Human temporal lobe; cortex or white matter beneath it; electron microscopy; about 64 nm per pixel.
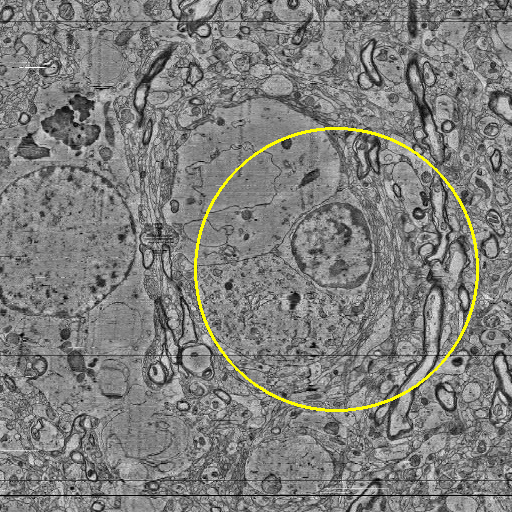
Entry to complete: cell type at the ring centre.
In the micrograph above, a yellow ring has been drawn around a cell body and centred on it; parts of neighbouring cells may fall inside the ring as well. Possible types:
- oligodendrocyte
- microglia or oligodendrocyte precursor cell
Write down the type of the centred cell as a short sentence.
The ring is centred on a microglial cell or oligodendrocyte precursor cell.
